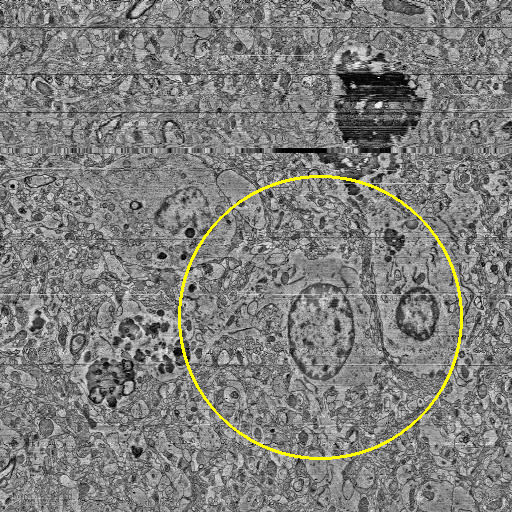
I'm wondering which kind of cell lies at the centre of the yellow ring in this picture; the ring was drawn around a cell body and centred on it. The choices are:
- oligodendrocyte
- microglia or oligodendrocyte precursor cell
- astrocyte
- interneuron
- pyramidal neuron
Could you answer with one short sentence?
At the centre of the ring lies an astrocyte.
